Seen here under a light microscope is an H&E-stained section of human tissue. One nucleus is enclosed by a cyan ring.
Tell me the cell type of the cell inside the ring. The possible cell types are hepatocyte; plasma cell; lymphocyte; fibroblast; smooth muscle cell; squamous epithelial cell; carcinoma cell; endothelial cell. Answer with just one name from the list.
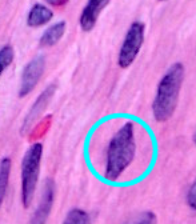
fibroblast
